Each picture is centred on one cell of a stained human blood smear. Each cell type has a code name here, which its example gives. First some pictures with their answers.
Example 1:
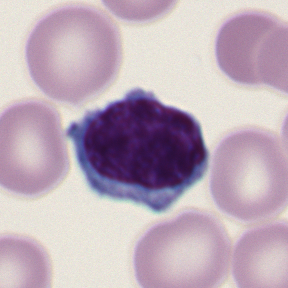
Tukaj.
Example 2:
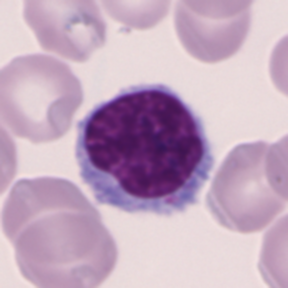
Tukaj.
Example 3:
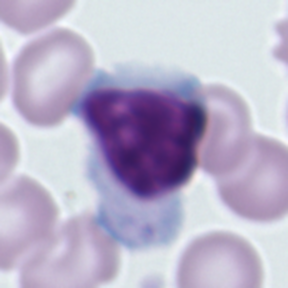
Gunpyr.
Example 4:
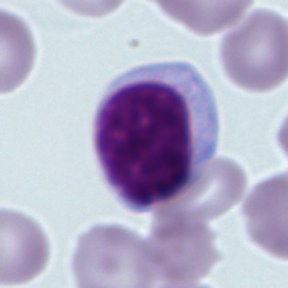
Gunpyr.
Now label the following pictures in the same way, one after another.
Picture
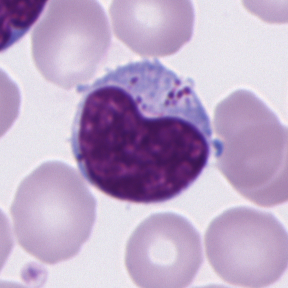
Gunpyr.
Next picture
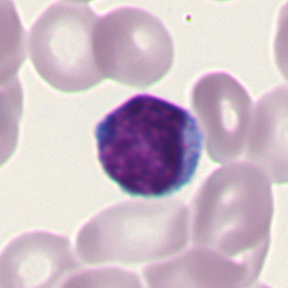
Tukaj.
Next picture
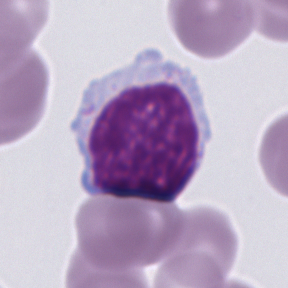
Gunpyr.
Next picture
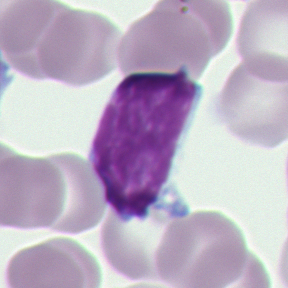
Tukaj.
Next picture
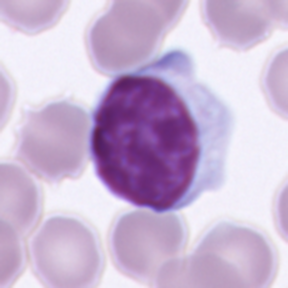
Tukaj.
